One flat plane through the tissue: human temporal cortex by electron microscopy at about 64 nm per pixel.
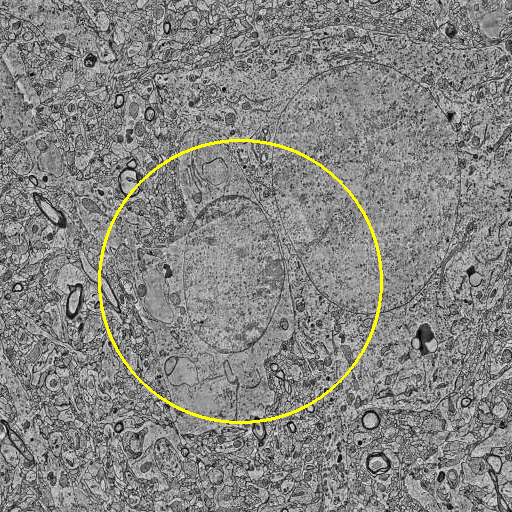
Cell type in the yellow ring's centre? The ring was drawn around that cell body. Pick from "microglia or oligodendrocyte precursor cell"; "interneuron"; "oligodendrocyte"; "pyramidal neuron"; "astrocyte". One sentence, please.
The ringed cell body is that of an astrocyte.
